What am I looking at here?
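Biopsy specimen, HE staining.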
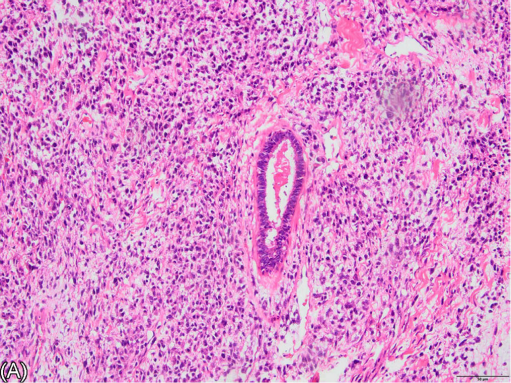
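A single glandular duct lined by tall columnar epithelium lies in the middle of an overgrown stroma. Around it, densely packed spindle cells with dark, irregular nuclei form a diffuse sheet, with looser pink areas toward the edges, so that the epithelial part is small compared with the stromal part.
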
